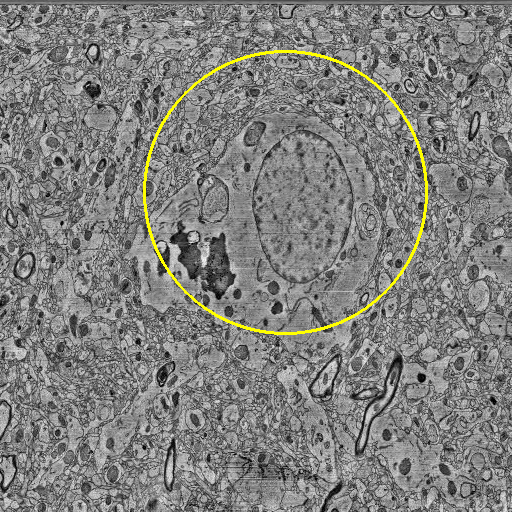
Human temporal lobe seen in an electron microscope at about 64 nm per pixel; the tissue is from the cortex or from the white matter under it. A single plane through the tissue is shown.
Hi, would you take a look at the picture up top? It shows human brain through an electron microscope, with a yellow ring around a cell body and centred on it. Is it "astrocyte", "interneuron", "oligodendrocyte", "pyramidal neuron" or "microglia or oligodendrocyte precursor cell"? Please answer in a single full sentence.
The best fit for the cell in the middle of the ring is an astrocyte, I reckon.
